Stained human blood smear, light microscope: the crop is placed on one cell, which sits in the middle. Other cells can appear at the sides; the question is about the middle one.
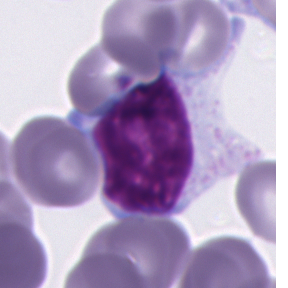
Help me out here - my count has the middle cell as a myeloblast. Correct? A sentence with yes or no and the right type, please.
No, the central cell qualifies as a large granular lymphocyte rather than as a myeloblast.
